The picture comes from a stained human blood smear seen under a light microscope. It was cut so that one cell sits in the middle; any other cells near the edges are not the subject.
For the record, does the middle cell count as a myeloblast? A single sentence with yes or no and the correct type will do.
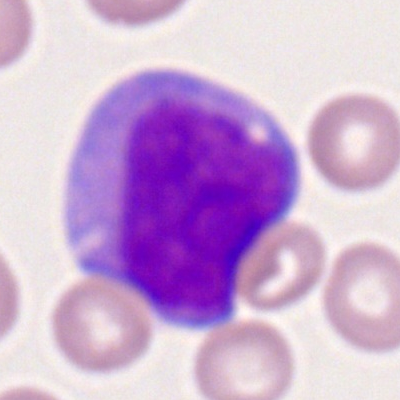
Yes, the cell at the heart of the crop is a myeloblast.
